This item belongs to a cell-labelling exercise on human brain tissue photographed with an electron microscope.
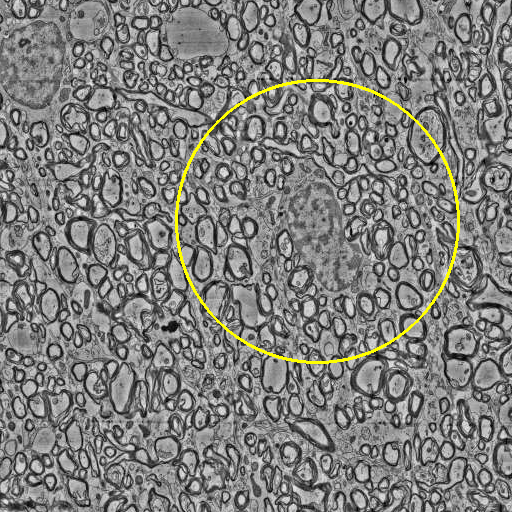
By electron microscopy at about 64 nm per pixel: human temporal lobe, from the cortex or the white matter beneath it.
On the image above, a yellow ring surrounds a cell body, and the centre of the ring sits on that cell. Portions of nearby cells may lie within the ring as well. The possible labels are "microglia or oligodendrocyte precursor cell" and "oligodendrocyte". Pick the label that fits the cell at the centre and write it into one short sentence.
This cell should be labelled as an oligodendrocyte.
